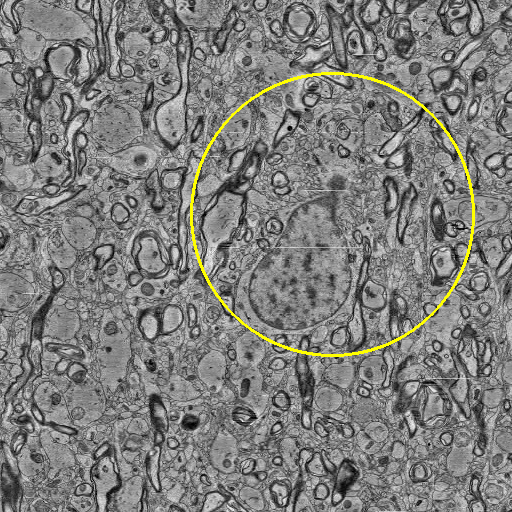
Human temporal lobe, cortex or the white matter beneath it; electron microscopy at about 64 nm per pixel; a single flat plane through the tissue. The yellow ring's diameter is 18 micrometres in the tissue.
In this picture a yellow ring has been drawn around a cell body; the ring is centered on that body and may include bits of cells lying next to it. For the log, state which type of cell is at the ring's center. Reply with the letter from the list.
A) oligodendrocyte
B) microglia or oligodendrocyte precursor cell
B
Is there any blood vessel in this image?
No, no vessel shows anywhere in the image.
